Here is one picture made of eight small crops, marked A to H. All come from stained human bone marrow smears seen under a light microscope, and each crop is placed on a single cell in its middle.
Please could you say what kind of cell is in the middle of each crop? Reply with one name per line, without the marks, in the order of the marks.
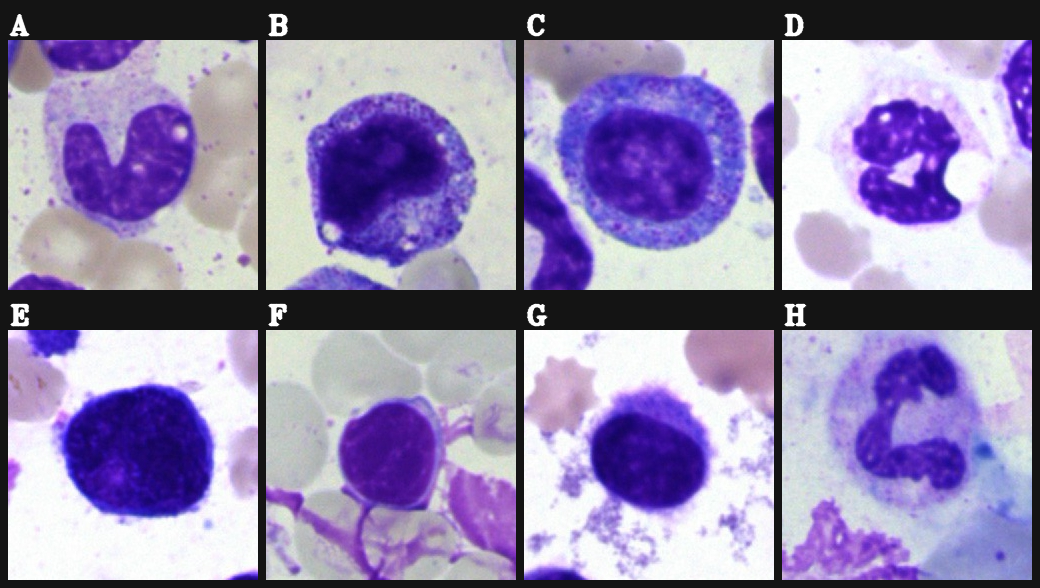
band neutrophil
promyelocyte
promyelocyte
segmented neutrophil
blast
lymphocyte
hairy cell
segmented neutrophil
